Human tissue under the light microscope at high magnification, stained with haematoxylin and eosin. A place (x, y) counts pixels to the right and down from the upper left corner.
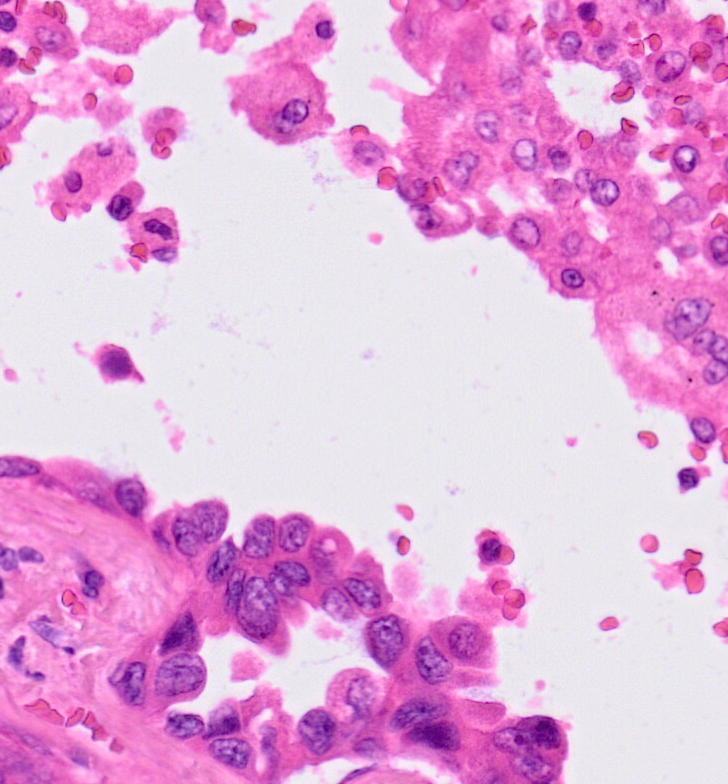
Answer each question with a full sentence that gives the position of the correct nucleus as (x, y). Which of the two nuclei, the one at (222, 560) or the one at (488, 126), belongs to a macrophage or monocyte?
Of the two, the nucleus at (488, 126) is the one contained in a macrophage or monocyte.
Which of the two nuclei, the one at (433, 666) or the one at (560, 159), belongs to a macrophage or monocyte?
The nucleus at (560, 159) is contained in a macrophage or monocyte.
